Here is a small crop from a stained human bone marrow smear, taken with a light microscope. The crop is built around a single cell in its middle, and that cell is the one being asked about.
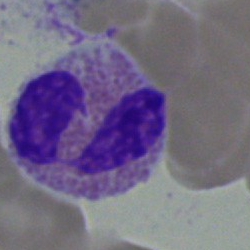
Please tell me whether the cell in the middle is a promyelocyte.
no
